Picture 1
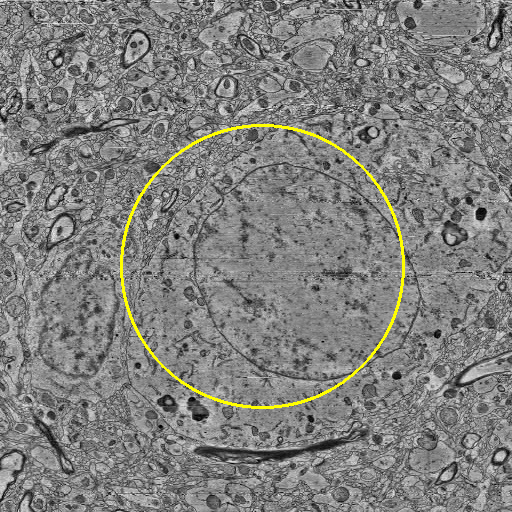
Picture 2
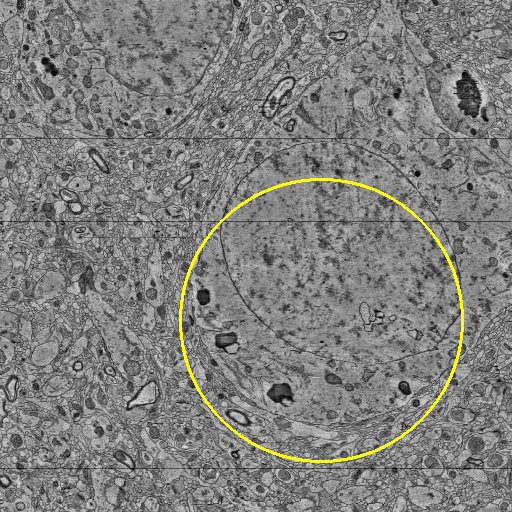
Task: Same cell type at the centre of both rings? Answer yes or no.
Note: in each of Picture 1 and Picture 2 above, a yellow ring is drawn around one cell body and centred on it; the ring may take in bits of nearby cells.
yes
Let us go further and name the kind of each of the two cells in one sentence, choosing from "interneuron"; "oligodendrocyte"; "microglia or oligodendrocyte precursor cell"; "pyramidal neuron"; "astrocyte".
Each of the two pictures has a pyramidal neuron at the ring centre.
